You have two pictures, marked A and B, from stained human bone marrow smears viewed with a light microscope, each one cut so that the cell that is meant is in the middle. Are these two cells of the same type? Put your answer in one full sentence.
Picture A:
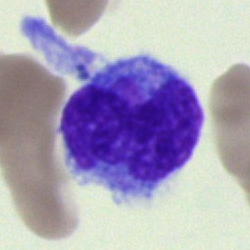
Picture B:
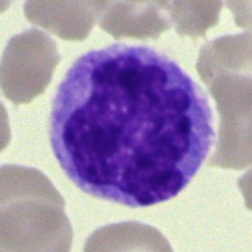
Yes, the two pictures both show monocytes.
